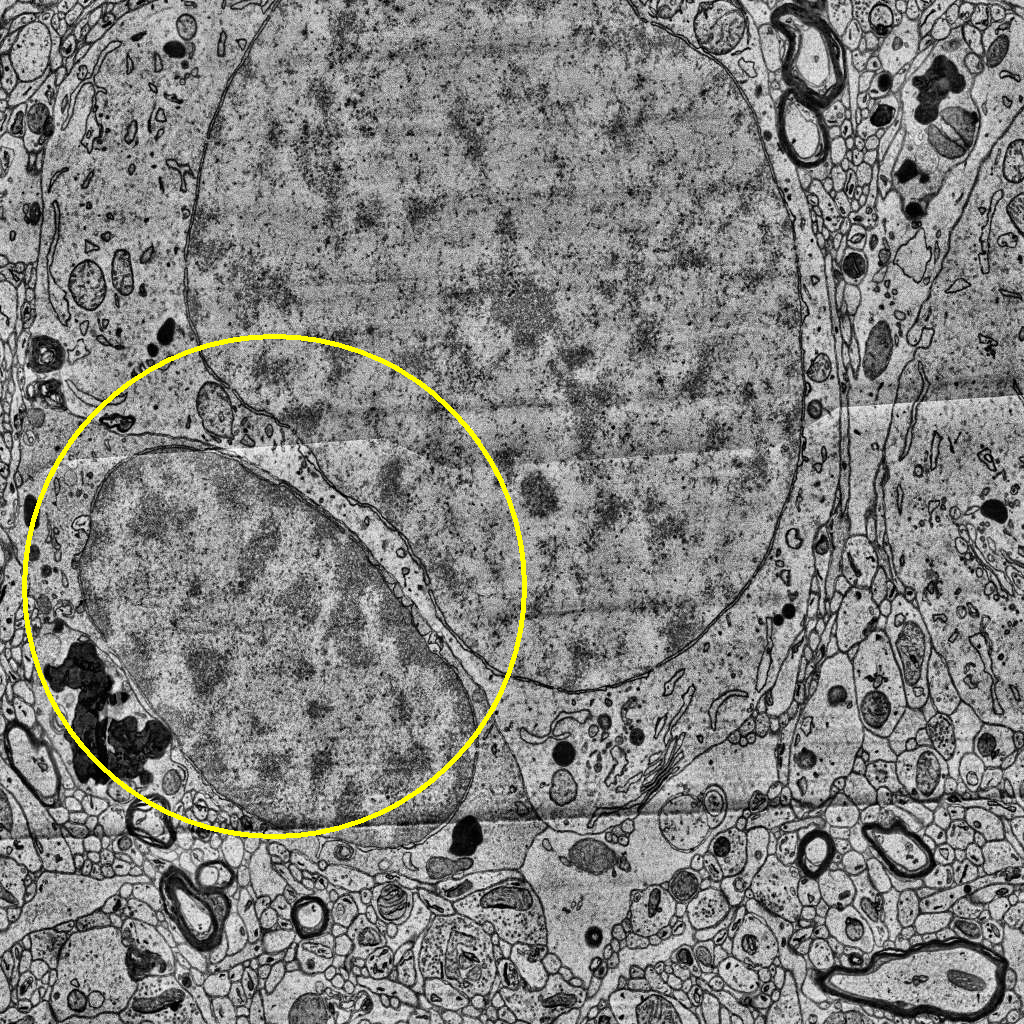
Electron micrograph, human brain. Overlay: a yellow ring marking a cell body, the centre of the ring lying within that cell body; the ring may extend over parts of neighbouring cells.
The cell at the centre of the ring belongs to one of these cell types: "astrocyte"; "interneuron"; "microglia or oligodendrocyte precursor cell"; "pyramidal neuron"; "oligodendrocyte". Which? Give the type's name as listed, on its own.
oligodendrocyte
